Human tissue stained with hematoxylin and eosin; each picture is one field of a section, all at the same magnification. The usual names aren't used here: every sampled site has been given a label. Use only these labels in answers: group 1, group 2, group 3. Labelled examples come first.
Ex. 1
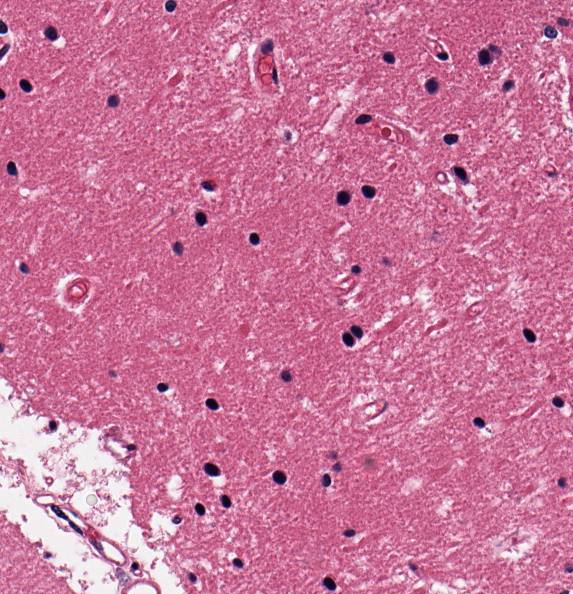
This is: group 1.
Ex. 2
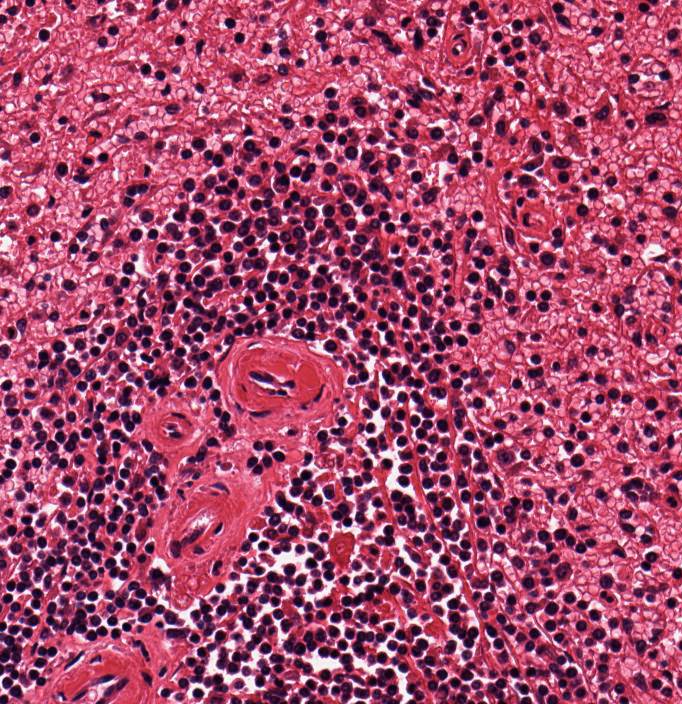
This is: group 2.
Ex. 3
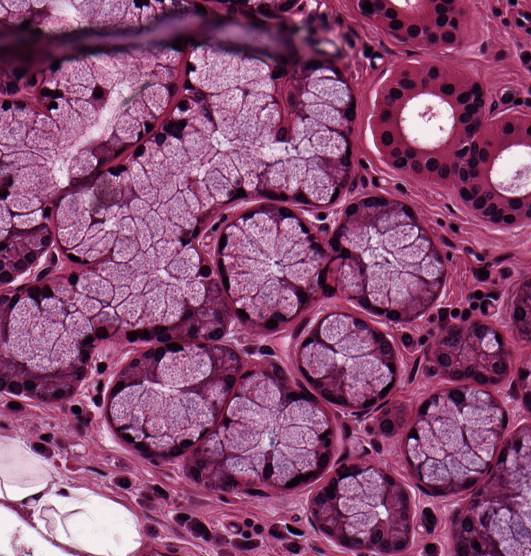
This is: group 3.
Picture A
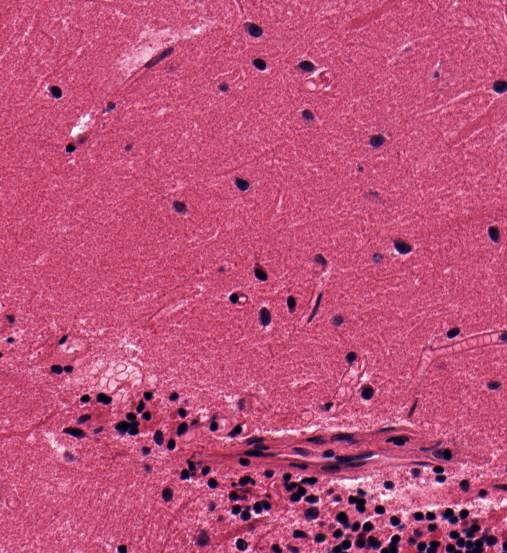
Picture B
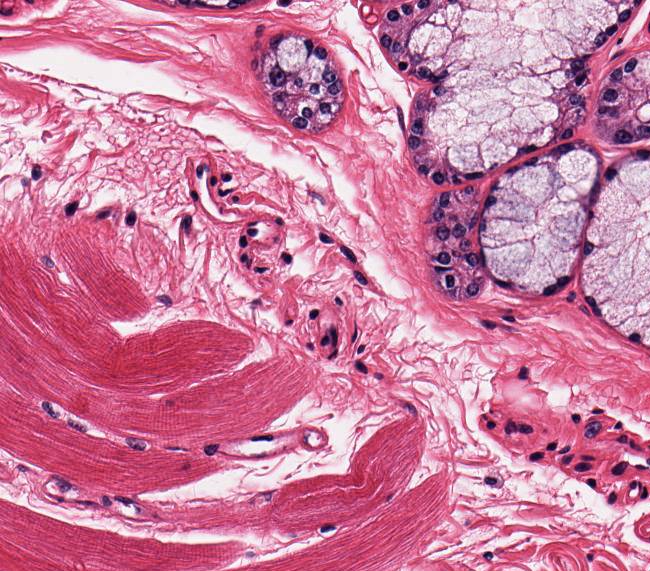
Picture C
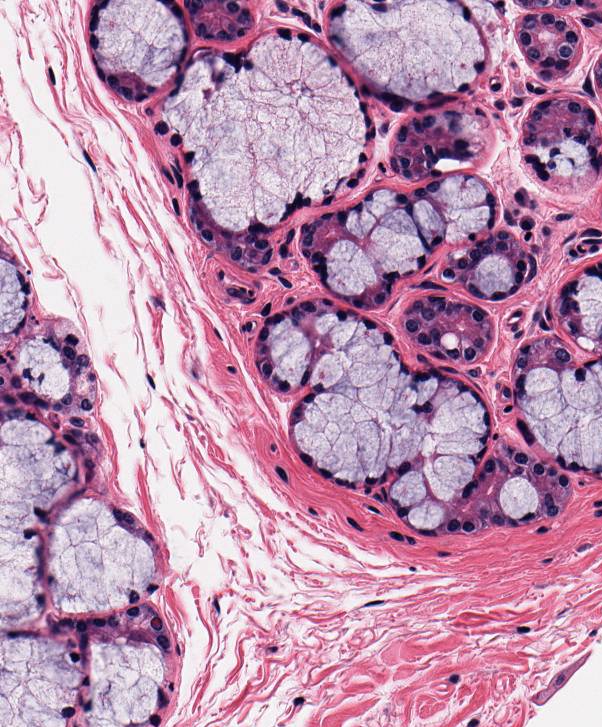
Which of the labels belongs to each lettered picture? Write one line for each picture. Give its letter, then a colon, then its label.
A: group 1.
B: group 3.
C: group 3.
